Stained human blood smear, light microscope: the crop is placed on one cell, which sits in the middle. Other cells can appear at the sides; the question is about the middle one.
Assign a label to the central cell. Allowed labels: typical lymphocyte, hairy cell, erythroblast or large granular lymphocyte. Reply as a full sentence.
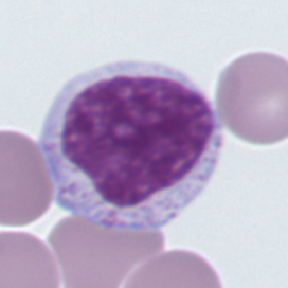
In the middle of this smear crop is a large granular lymphocyte.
